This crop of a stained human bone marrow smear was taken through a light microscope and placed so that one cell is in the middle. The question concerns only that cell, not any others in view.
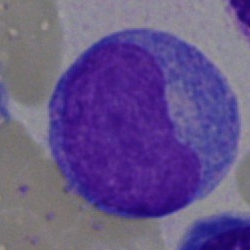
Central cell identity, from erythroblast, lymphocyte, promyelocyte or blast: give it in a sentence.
The cell occupying the middle of the crop is a promyelocyte.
